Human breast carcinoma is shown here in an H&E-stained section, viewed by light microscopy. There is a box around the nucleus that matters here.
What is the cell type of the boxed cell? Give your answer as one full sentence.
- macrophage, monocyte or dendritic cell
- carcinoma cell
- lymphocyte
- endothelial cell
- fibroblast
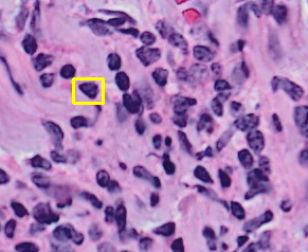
The boxed cell appears to be a lymphocyte.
